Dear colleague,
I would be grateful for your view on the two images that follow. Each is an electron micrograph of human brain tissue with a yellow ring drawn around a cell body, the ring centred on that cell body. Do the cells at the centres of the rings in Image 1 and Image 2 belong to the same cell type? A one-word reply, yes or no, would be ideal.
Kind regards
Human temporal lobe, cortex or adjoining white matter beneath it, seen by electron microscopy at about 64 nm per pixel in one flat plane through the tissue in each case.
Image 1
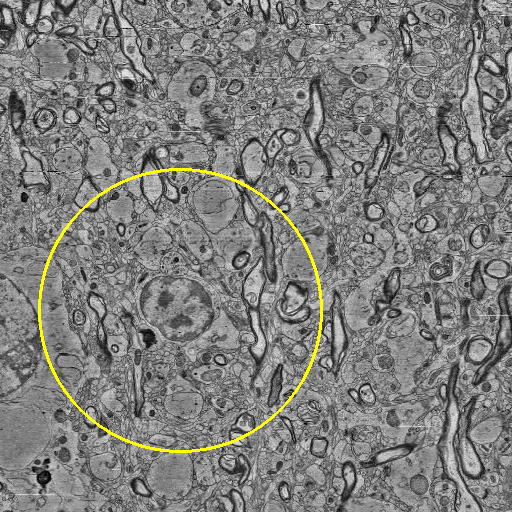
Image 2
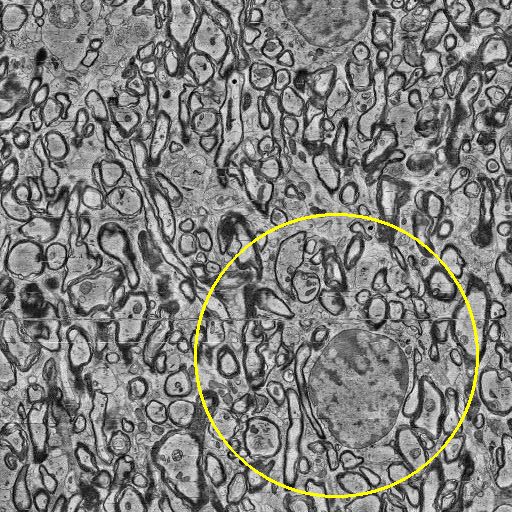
yes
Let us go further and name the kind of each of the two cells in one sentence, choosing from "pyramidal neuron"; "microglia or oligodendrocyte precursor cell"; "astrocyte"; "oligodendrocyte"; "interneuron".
Each of the two pictures has a microglial cell or oligodendrocyte precursor cell at the ring centre.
